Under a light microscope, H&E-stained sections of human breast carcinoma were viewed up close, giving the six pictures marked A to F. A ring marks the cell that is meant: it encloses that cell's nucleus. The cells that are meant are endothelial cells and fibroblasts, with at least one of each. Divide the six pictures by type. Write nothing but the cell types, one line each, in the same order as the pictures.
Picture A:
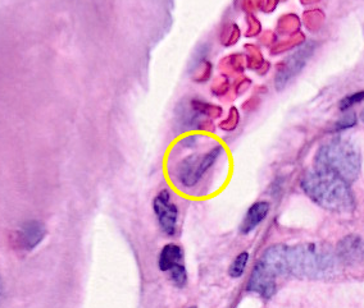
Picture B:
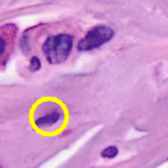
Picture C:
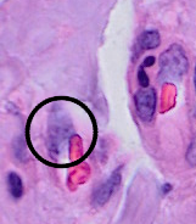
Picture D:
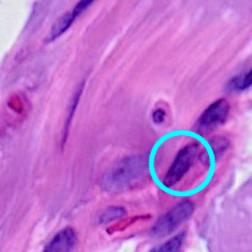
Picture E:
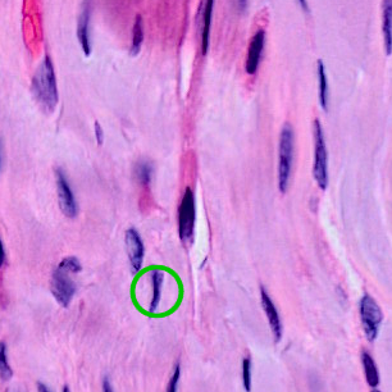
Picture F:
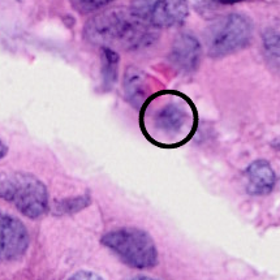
endothelial cell
fibroblast
endothelial cell
endothelial cell
fibroblast
endothelial cell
